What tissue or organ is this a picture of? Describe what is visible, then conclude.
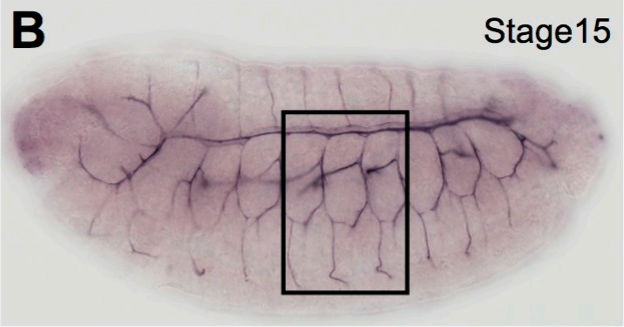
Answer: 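Tracheal system. A purple-stained network of branched tubes runs through the whole embryo. A long tube runs lengthwise with branches repeating segment by segment.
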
